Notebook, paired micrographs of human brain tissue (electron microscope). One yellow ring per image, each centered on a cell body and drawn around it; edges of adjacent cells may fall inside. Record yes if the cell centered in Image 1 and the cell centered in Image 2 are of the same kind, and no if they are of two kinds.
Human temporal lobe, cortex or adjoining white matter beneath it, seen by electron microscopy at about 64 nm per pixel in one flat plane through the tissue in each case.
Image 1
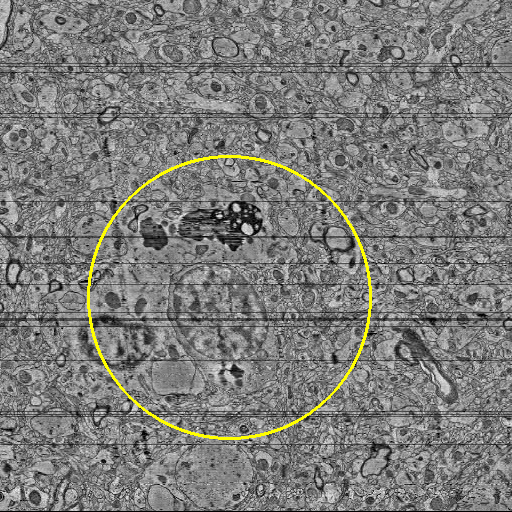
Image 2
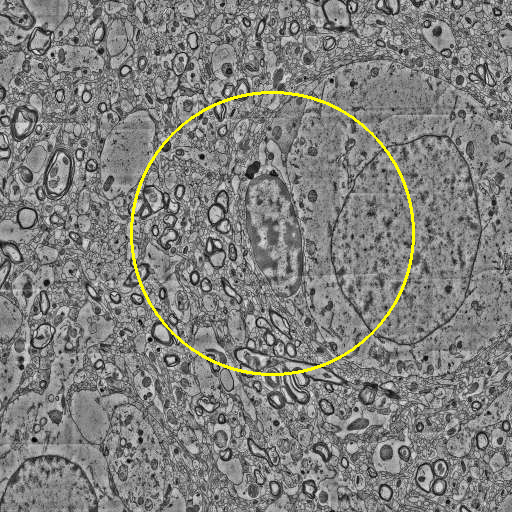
no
